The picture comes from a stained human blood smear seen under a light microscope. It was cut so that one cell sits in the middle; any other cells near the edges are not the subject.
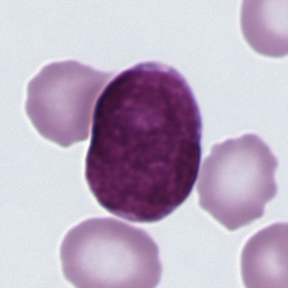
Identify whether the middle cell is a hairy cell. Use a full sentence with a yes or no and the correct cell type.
No, the cell in the centre of the crop is a myeloblast as opposed to a hairy cell.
